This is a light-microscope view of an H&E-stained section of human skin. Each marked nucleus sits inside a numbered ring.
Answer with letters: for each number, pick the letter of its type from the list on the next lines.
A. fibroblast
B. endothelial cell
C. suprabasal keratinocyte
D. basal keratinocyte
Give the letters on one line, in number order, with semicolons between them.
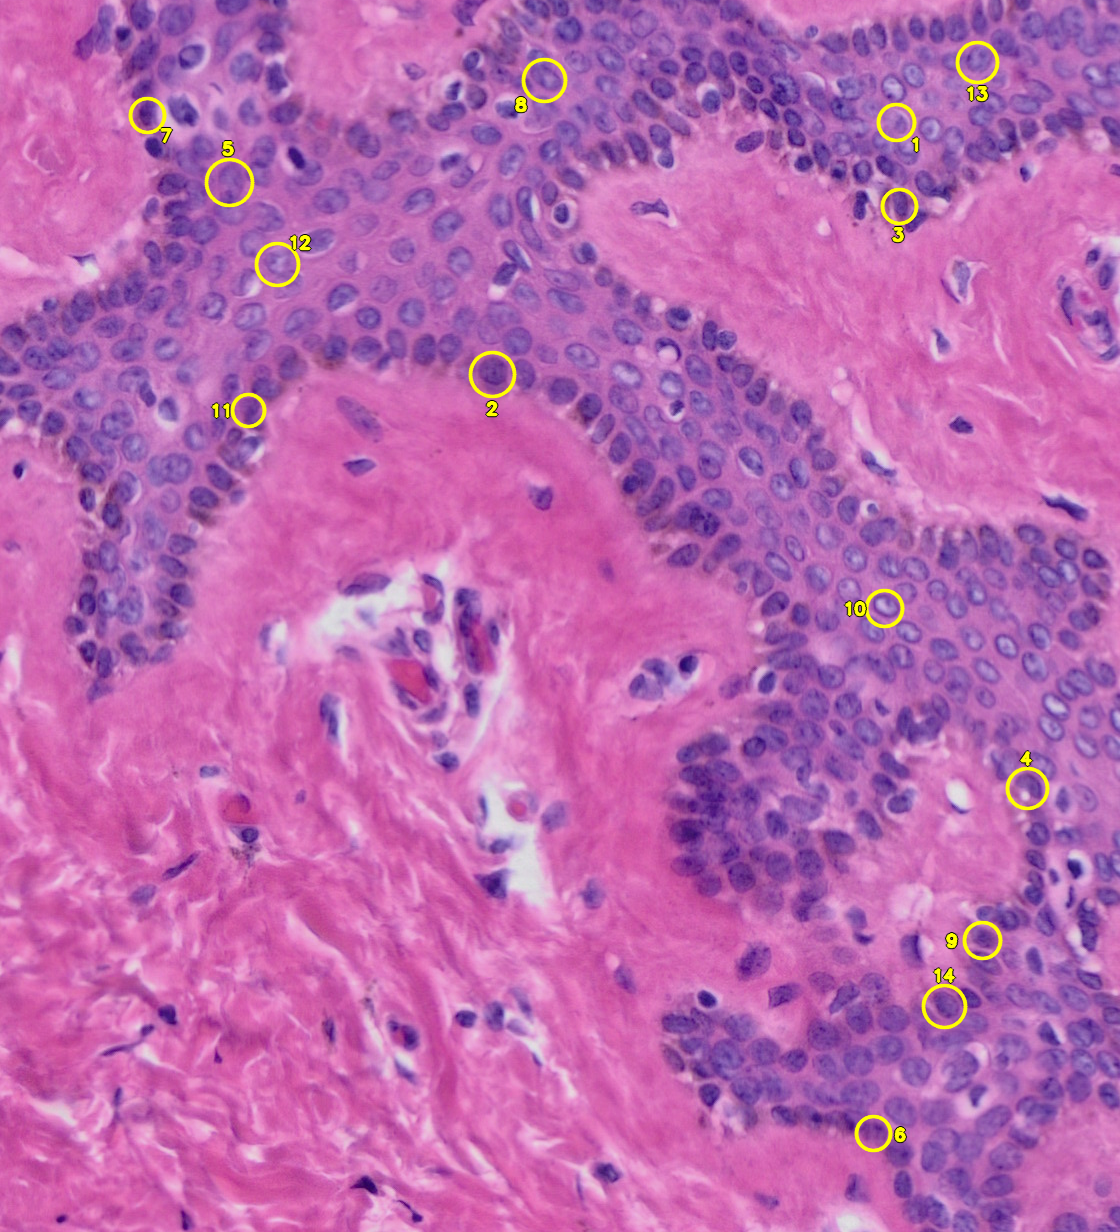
C; D; D; D; C; D; D; C; D; C; D; C; C; D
